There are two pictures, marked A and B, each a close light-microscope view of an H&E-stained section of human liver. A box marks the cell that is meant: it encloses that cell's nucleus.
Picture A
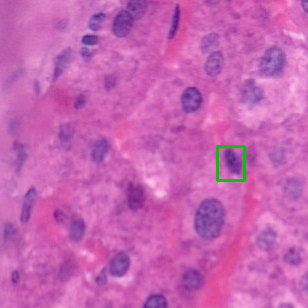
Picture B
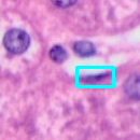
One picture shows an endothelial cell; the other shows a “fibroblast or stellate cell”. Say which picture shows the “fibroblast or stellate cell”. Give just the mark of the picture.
A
